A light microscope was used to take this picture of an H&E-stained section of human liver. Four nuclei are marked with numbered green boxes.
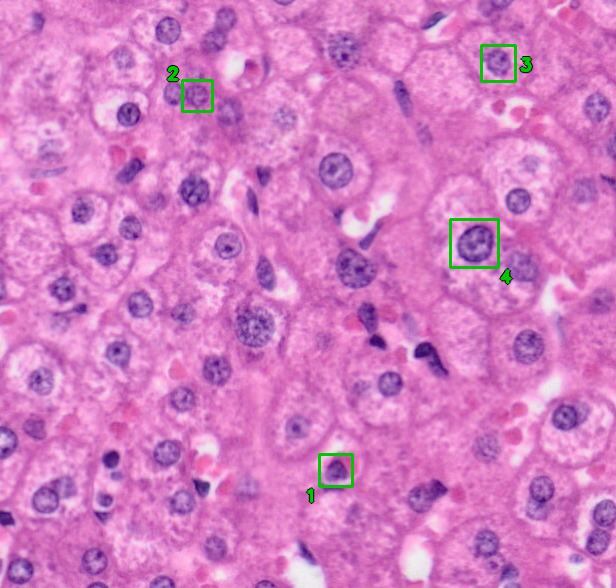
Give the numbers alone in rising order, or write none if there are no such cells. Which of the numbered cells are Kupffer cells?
1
